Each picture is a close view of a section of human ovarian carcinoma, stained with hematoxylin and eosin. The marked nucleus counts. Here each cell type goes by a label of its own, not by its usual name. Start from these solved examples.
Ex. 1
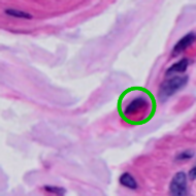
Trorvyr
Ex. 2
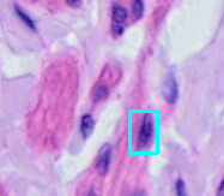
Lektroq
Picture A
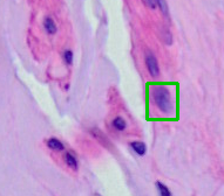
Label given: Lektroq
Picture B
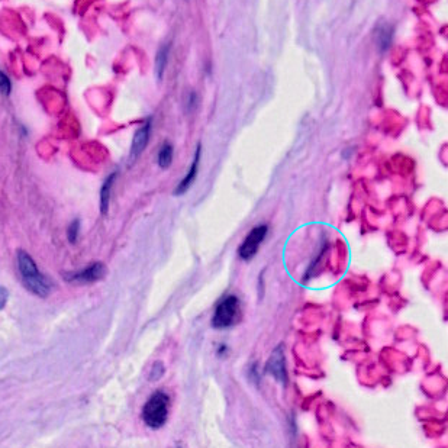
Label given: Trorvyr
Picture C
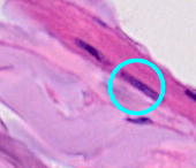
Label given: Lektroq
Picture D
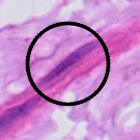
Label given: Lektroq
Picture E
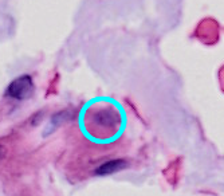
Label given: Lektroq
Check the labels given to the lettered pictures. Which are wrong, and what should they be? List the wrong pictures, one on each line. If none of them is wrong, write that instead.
All correct.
